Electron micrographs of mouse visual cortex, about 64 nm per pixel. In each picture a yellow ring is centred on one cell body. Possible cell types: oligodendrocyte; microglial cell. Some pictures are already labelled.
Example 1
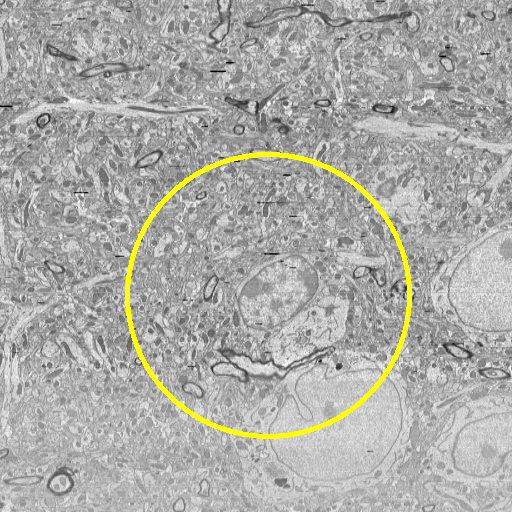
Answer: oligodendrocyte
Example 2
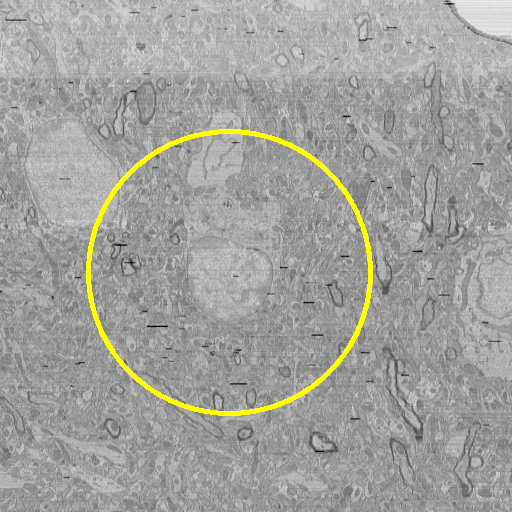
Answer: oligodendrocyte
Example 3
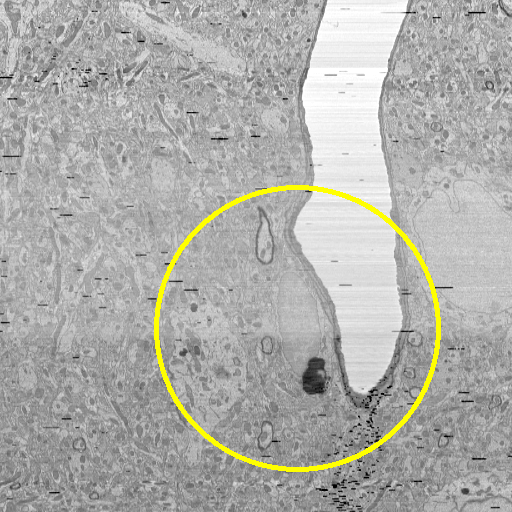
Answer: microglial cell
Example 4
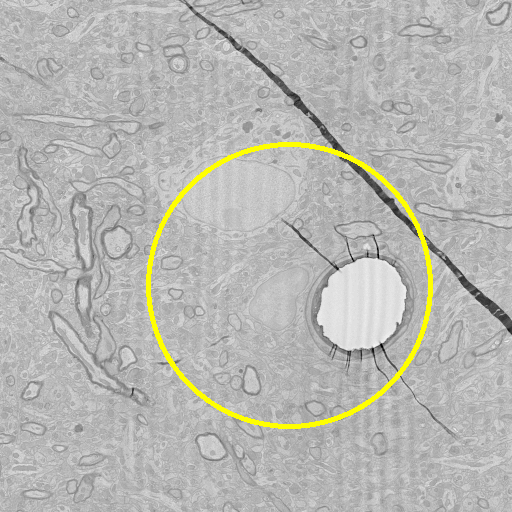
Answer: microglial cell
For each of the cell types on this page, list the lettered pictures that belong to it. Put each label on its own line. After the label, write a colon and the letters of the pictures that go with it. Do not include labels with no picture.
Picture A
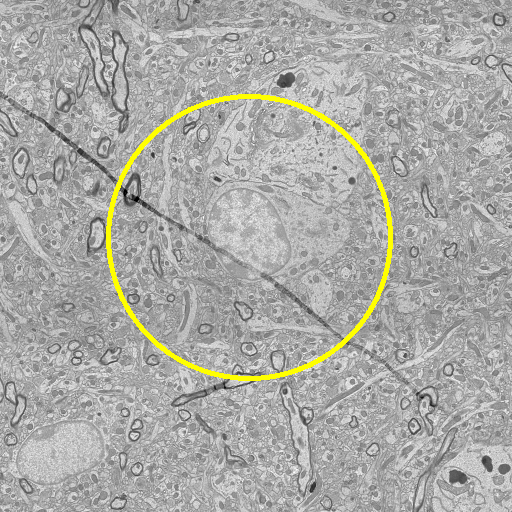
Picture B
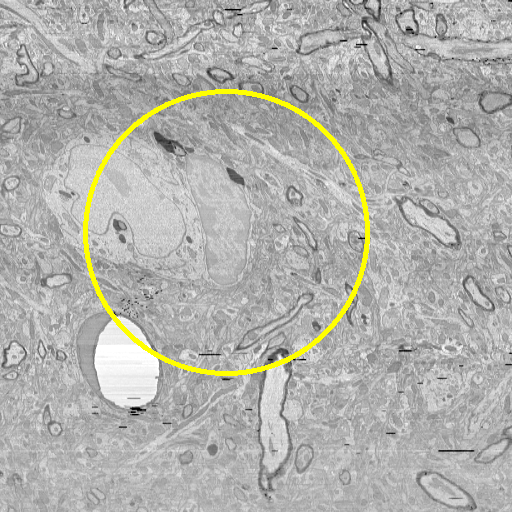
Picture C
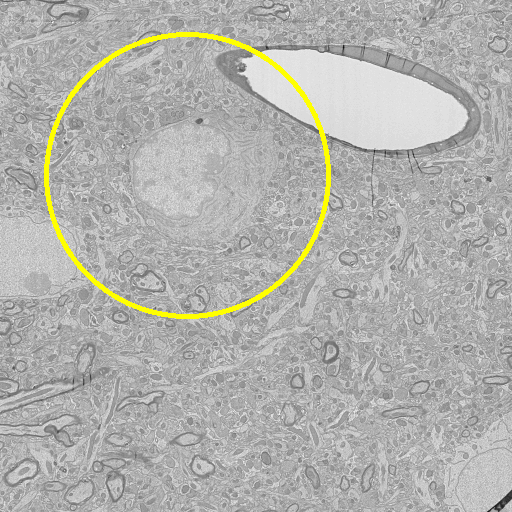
oligodendrocyte: A, C
microglial cell: B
